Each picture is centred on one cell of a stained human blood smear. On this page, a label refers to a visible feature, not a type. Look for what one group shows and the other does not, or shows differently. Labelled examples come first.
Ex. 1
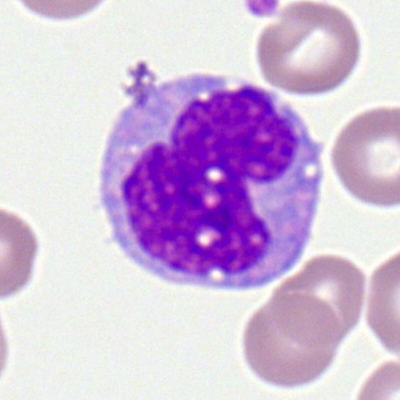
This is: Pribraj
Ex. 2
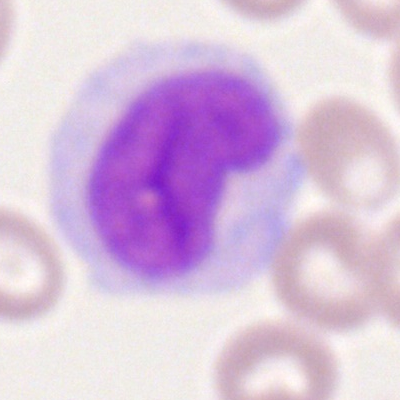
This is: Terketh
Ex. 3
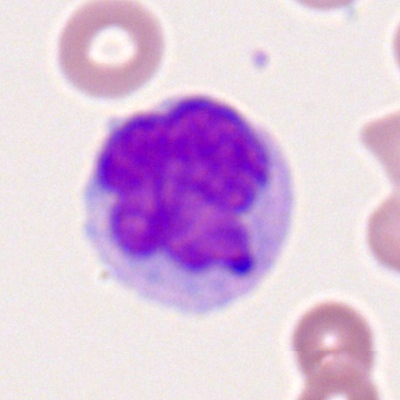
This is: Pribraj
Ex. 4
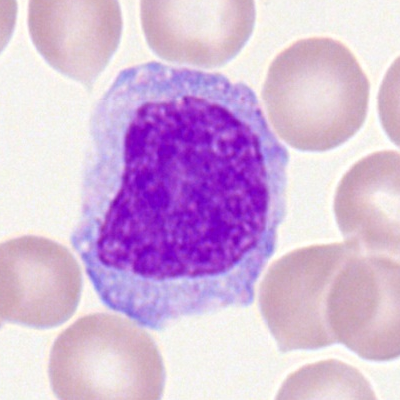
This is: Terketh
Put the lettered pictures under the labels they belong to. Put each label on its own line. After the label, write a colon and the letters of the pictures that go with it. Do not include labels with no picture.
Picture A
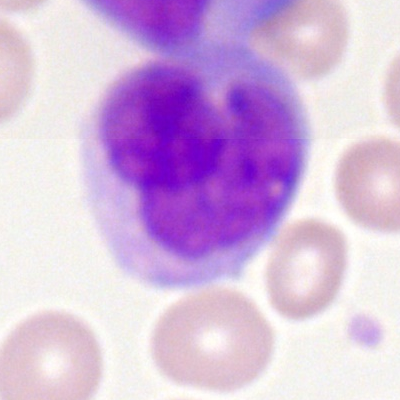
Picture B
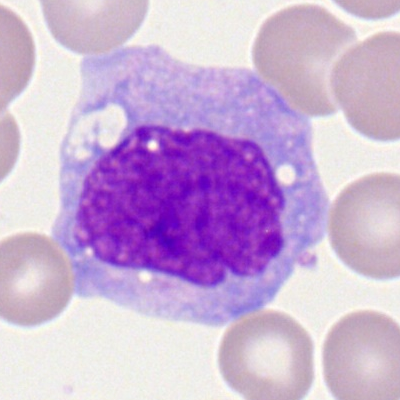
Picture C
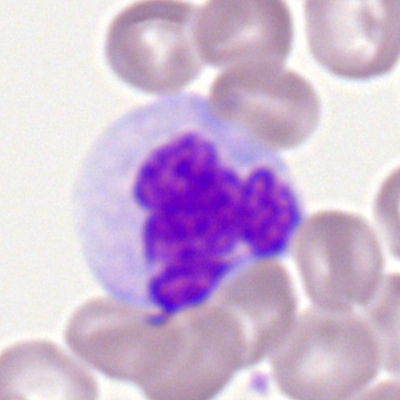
Pribraj: A, C
Terketh: B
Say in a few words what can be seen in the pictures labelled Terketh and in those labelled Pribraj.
In Terketh: single compact nucleus. In Pribraj: lobed nucleus.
